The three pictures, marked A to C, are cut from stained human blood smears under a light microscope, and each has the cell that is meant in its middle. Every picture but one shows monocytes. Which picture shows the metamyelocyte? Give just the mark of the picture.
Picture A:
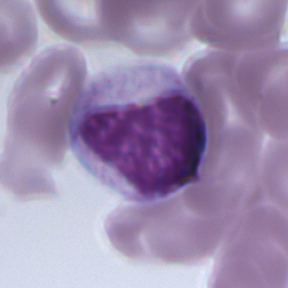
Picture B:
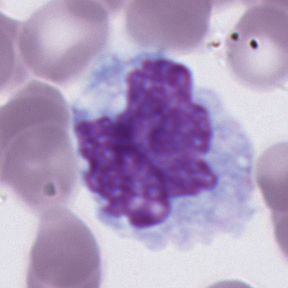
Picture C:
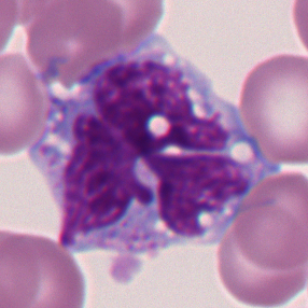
A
